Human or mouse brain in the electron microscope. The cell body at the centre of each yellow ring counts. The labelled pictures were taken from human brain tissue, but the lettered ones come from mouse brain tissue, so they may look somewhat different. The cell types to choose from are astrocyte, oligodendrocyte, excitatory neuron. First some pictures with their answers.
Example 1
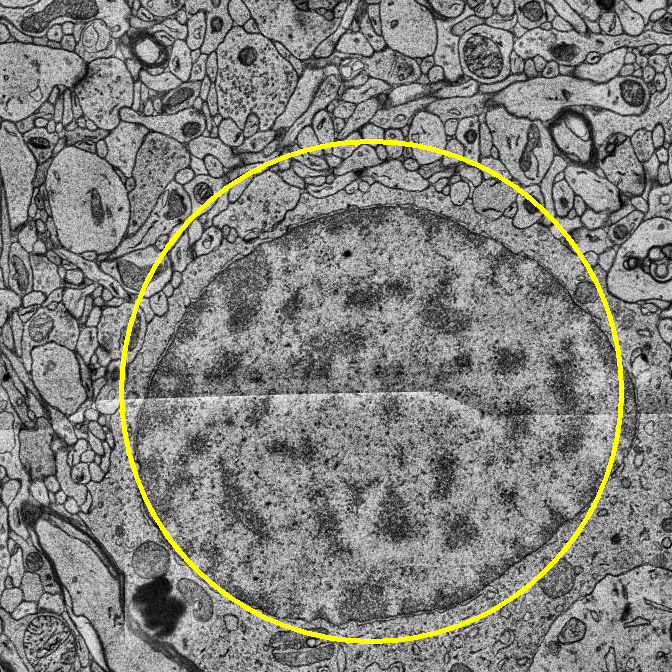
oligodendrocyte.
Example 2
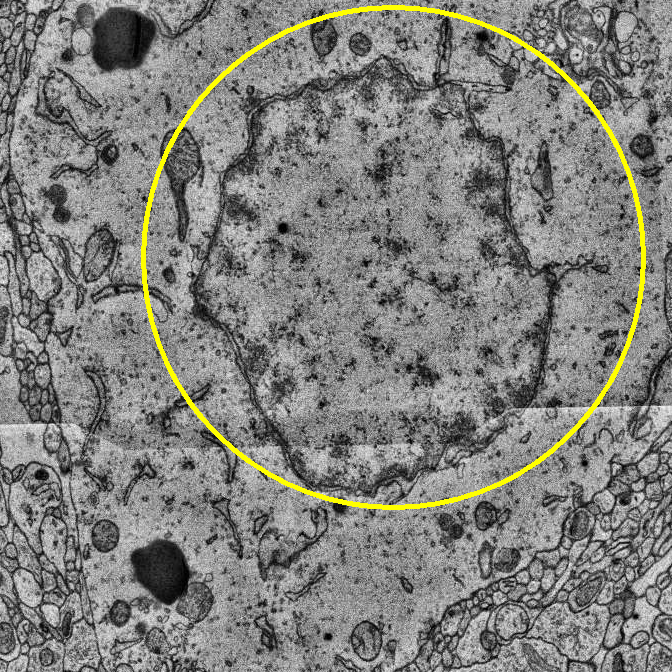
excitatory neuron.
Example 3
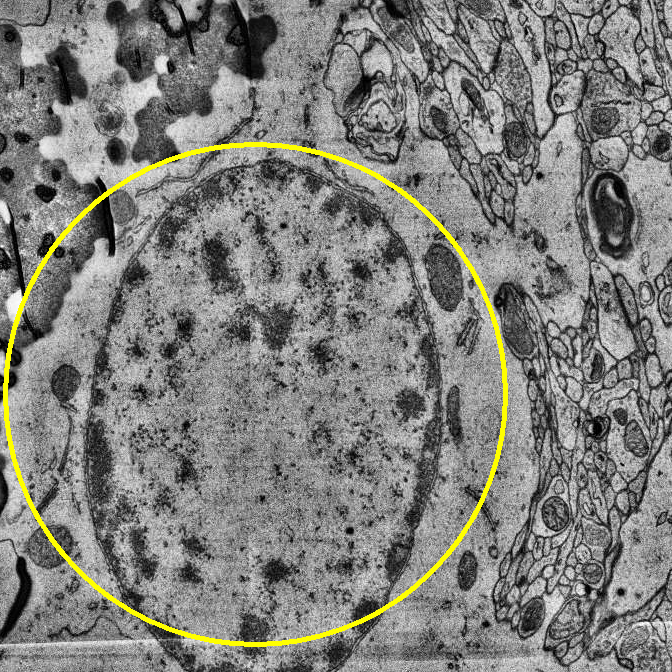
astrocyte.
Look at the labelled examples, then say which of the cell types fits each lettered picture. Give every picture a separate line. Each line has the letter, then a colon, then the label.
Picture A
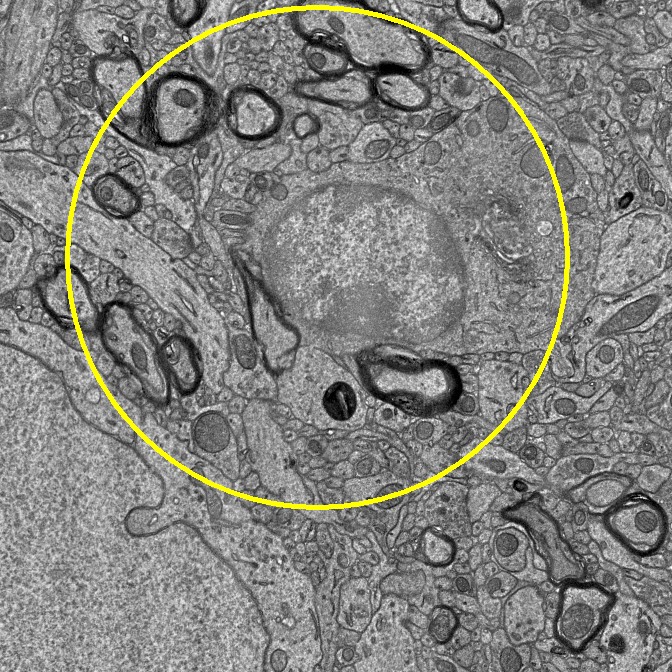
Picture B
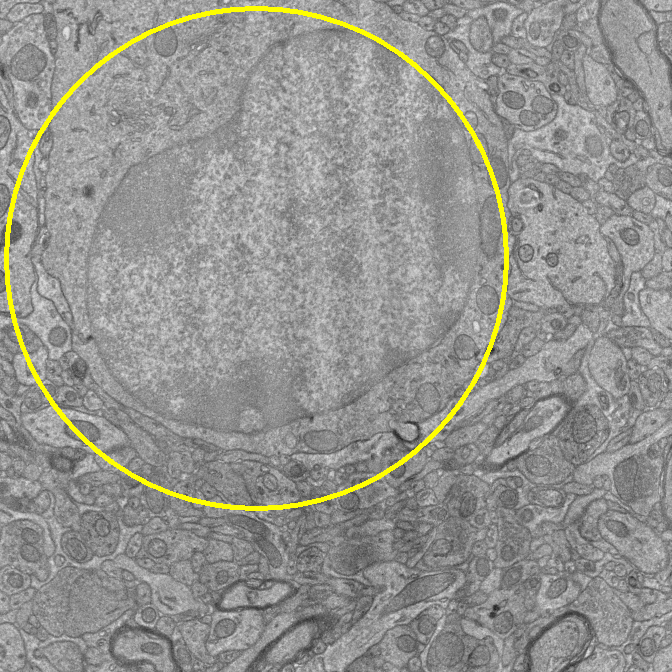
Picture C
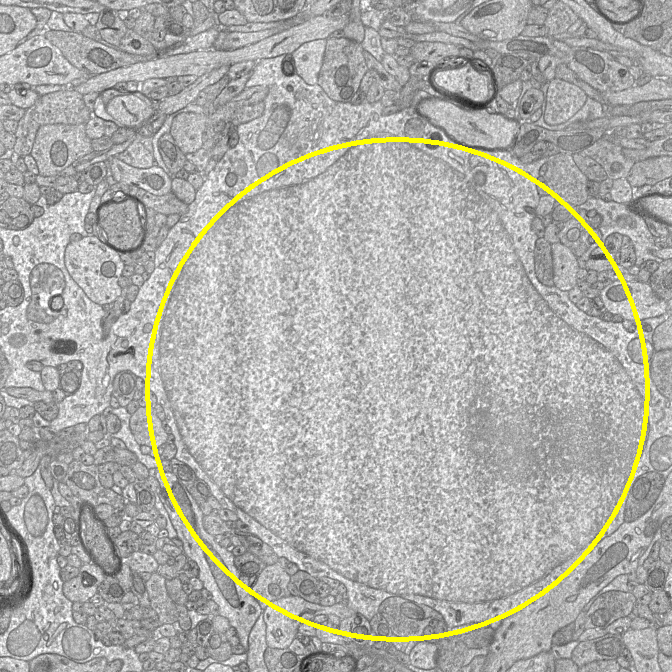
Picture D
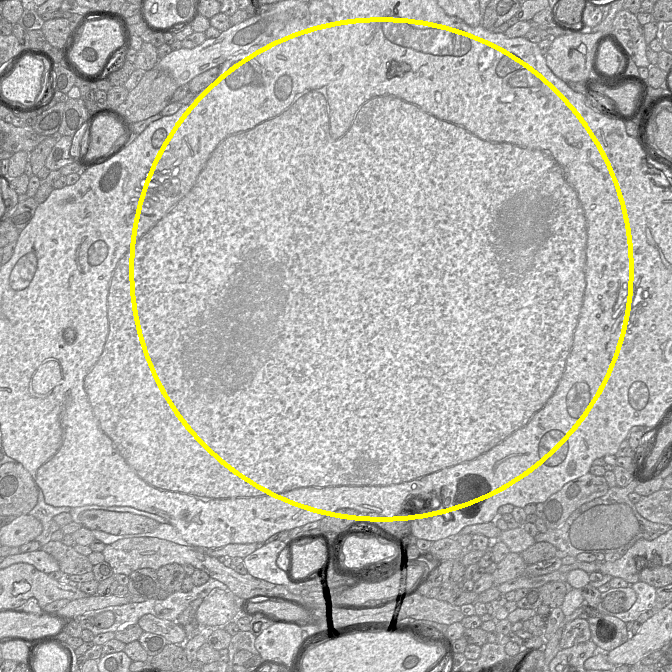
A: oligodendrocyte.
B: oligodendrocyte.
C: astrocyte.
D: excitatory neuron.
